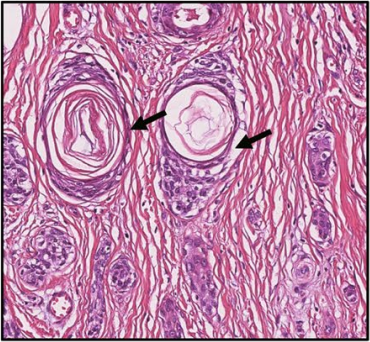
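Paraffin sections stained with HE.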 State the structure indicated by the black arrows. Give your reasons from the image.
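Small round cysts lined by flattened epithelial cells. The cyst lumens hold pink, laminated, flaky material.
Conclusion: keratin microcysts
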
